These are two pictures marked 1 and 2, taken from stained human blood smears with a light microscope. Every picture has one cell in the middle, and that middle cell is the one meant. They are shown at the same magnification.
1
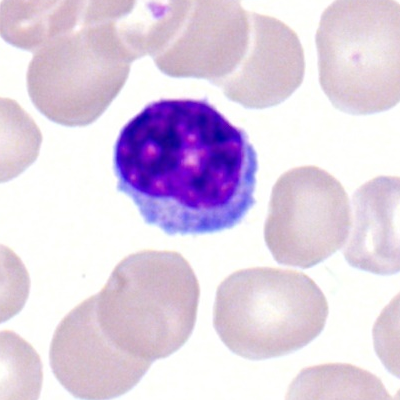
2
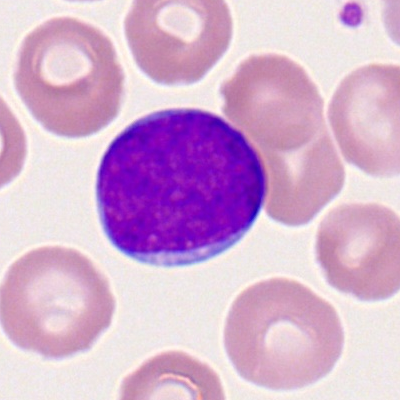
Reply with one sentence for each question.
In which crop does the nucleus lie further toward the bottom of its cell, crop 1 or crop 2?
In crop 2 the nucleus is shifted more toward the bottom.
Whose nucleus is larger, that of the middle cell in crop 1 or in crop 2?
The nucleus in crop 2 is larger, with about 2 times the area of the one in crop 1.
